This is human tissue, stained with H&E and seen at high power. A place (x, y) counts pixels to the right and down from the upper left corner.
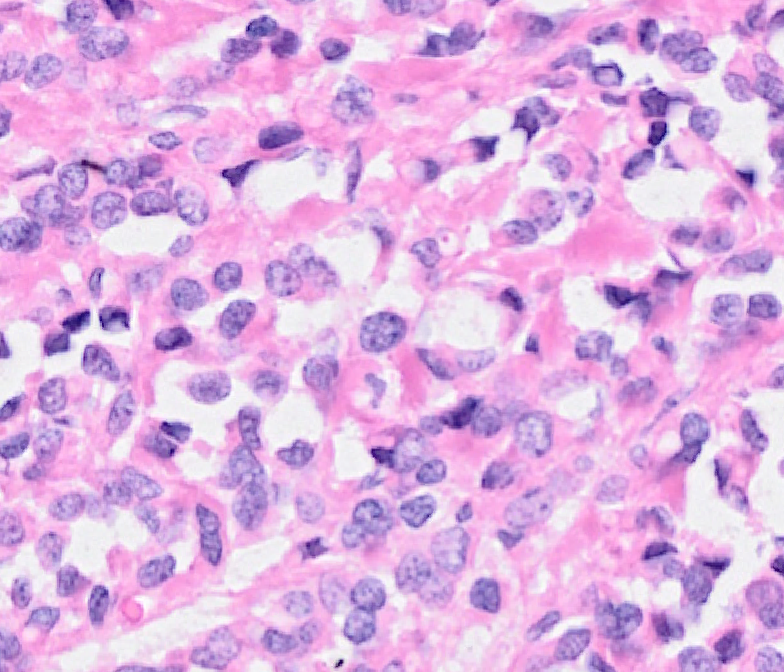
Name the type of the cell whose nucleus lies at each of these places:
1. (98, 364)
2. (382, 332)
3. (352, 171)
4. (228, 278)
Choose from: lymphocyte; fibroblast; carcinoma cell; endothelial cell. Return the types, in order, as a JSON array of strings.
["carcinoma cell", "carcinoma cell", "fibroblast", "carcinoma cell"]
